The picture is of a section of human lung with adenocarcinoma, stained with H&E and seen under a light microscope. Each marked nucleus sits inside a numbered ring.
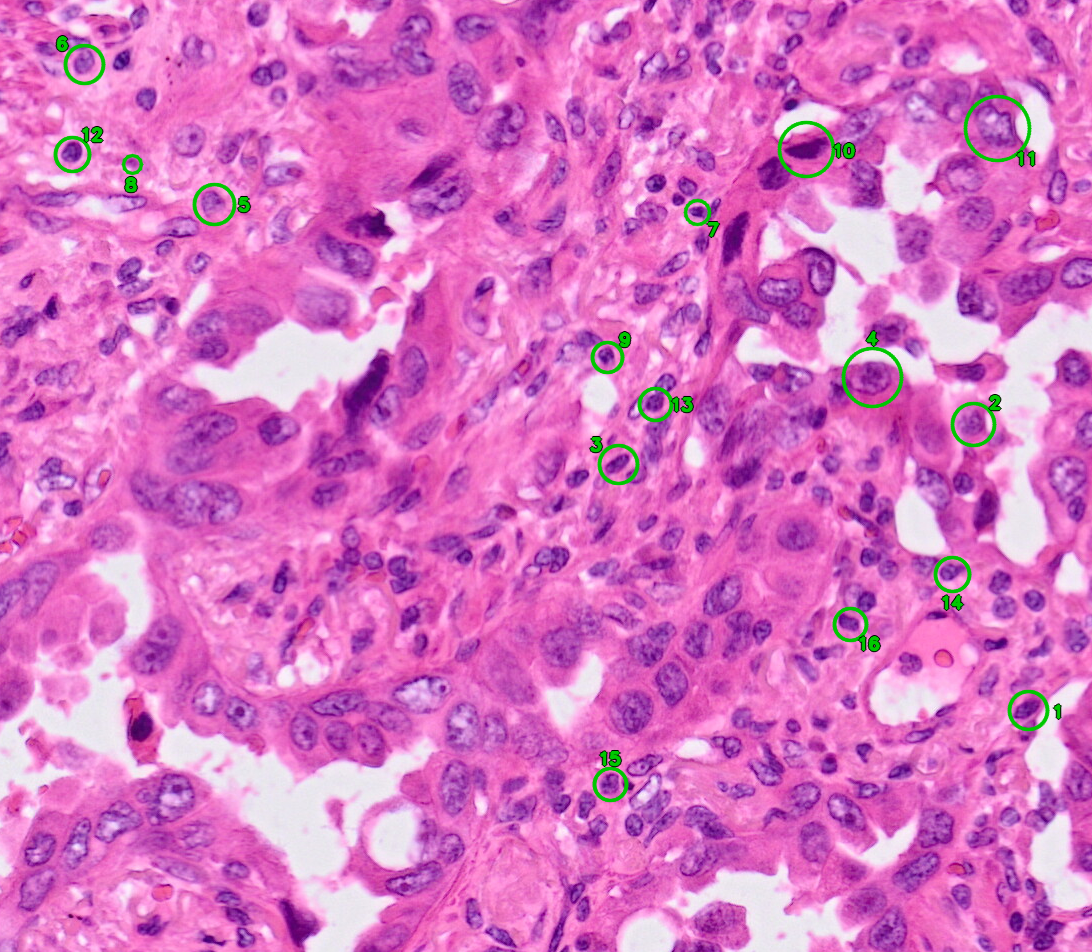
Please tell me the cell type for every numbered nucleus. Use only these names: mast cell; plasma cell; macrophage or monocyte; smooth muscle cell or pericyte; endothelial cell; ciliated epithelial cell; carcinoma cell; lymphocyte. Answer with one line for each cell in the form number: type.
1: plasma cell
2: carcinoma cell
3: lymphocyte
4: carcinoma cell
5: mast cell
6: mast cell
7: lymphocyte
8: macrophage or monocyte
9: lymphocyte
10: carcinoma cell
11: carcinoma cell
12: lymphocyte
13: lymphocyte
14: lymphocyte
15: lymphocyte
16: lymphocyte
